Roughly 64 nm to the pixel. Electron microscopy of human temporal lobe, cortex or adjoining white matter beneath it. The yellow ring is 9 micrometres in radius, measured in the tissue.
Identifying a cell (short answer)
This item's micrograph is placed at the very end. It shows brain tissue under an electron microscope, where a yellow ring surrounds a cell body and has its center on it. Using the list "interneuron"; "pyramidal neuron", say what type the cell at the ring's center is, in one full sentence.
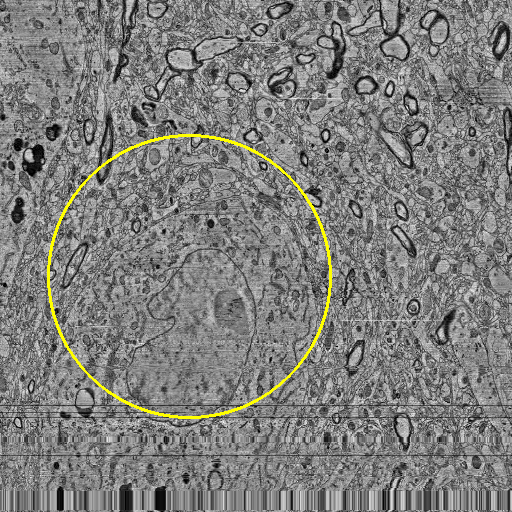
This picture shows a pyramidal neuron at the center of the yellow ring drawn on it.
